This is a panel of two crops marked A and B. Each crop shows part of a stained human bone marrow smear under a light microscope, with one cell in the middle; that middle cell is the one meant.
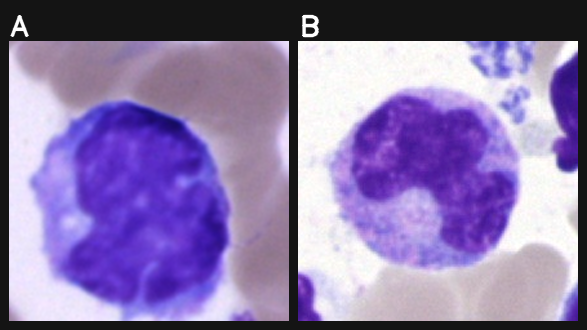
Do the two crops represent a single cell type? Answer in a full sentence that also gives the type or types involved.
Yes, that is right, both crops show monocytes.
